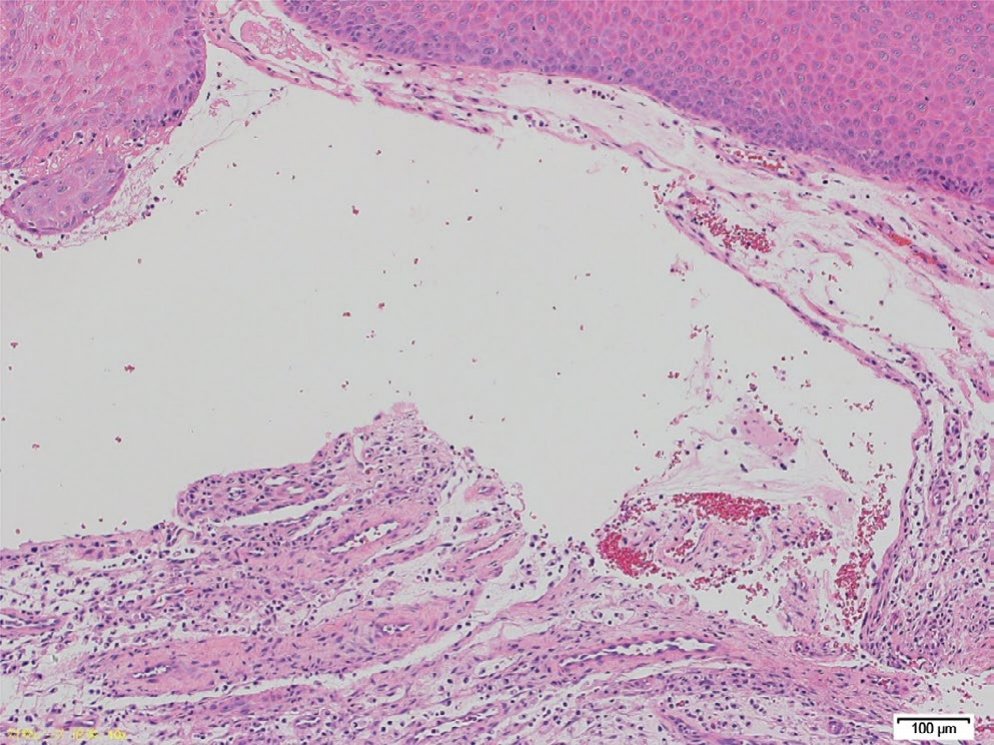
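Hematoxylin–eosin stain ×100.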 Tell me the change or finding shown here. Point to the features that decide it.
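A large, mostly empty cavity lies beneath stratified squamous epithelium. The cavity has no epithelial lining; its wall is made of loose connective tissue. Scattered red blood cells and faint pale material lie within the cavity. That points to this answer: mucoceles.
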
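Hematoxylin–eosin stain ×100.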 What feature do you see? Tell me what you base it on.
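Cystic cavity. A large clear space occupies the centre of the field. The space is bounded by connective tissue walls. Loose red blood cells are scattered within the space.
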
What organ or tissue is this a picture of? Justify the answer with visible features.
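Below the cavity, the tissue is cellular with many small dark nuclei. Small vessels, some engorged with red blood cells, lie at the cavity wall. The wall tissue is loose and vascular rather than densely collagenous.
Hence: granulation tissues.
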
